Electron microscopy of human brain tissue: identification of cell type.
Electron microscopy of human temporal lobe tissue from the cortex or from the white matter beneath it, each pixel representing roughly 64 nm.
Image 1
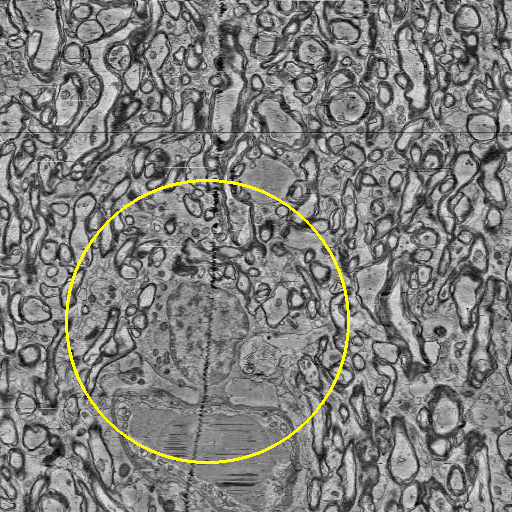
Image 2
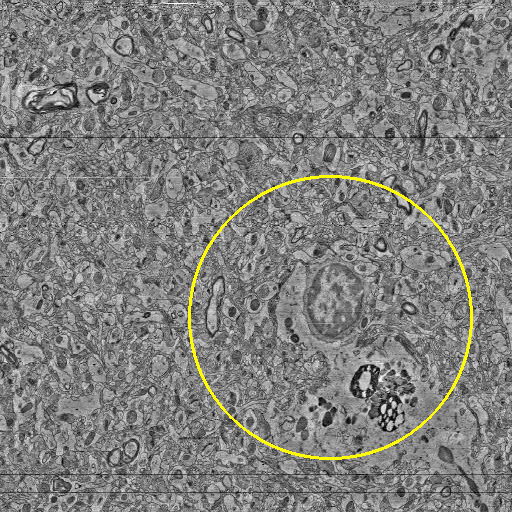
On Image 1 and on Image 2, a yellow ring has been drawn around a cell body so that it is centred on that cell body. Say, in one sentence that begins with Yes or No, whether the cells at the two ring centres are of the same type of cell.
Yes, both cells are the same type of cell.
